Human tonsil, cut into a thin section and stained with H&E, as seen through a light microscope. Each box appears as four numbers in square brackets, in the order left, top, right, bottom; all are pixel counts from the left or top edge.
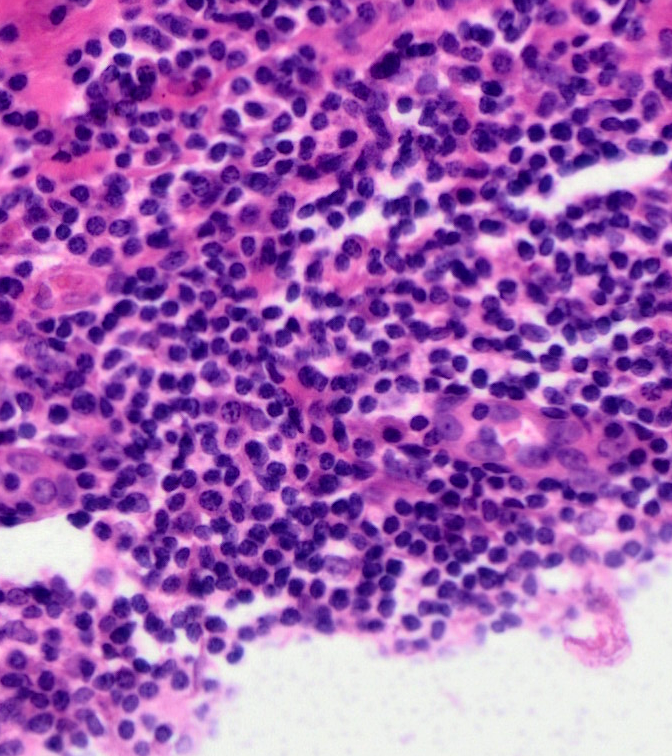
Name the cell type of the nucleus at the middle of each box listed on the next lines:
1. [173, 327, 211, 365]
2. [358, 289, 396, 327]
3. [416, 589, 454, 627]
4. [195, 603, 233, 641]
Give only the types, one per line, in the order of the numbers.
small lymphocyte
plasma cell
small lymphocyte
small lymphocyte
